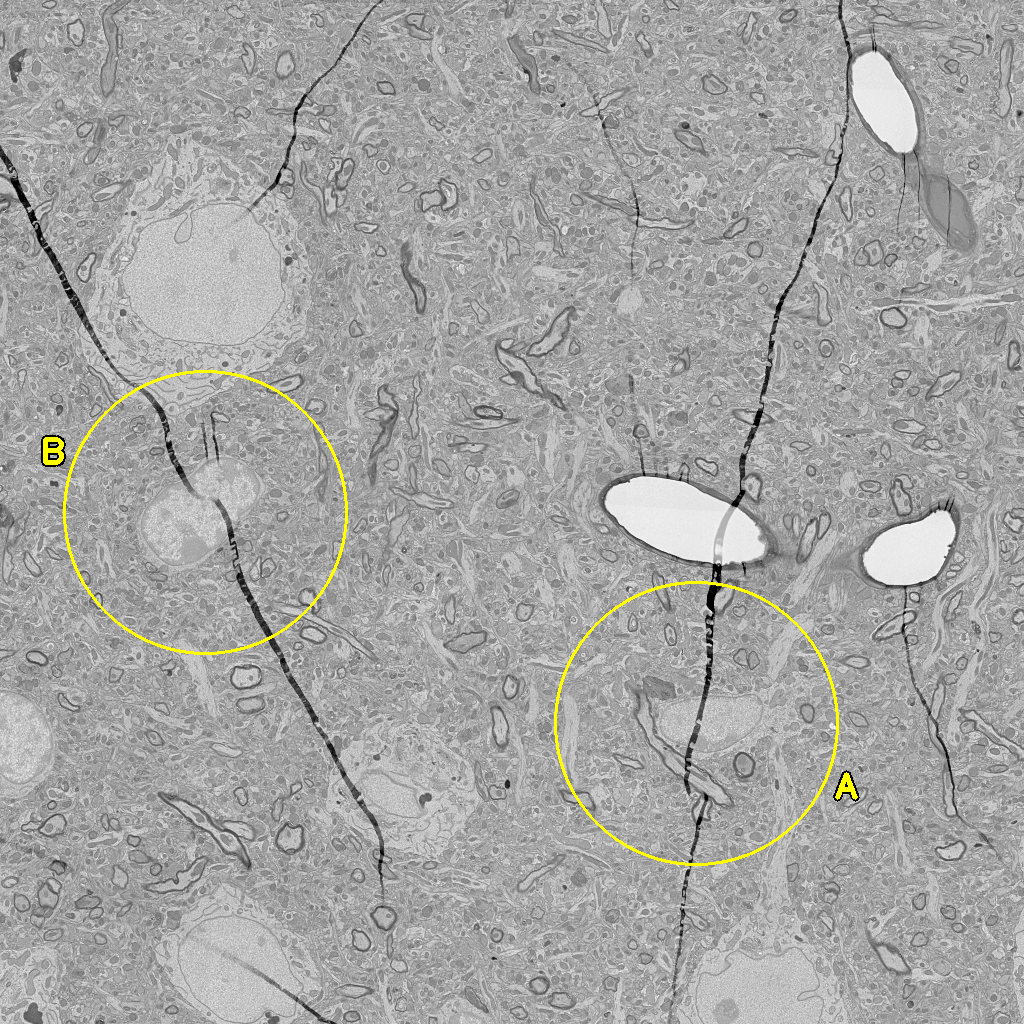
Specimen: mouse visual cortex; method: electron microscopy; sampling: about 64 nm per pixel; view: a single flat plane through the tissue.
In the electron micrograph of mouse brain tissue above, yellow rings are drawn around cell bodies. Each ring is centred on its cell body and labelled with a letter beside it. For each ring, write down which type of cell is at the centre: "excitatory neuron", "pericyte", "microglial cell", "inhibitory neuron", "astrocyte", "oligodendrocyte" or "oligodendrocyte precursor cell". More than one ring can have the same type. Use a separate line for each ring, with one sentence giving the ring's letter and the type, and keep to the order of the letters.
At the centre of ring A there is an astrocyte.
At the centre of ring B there is an oligodendrocyte.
